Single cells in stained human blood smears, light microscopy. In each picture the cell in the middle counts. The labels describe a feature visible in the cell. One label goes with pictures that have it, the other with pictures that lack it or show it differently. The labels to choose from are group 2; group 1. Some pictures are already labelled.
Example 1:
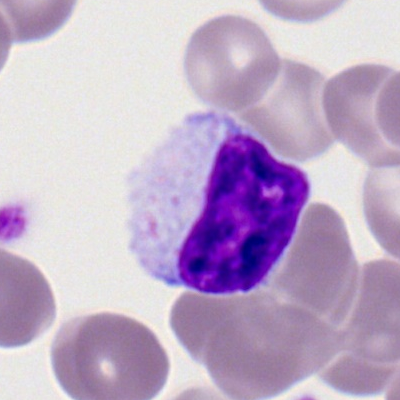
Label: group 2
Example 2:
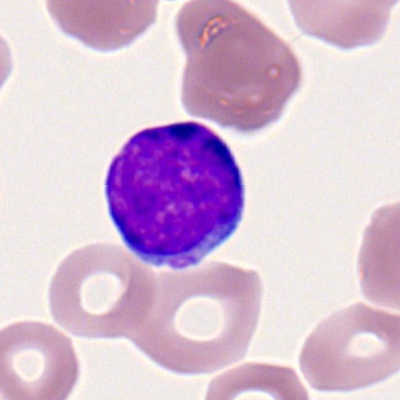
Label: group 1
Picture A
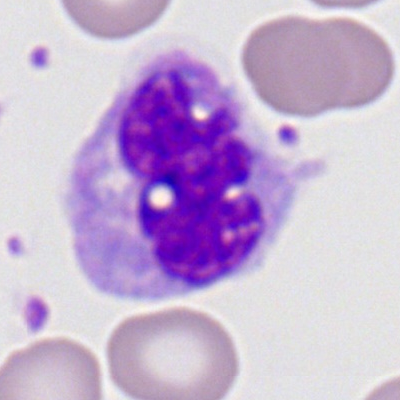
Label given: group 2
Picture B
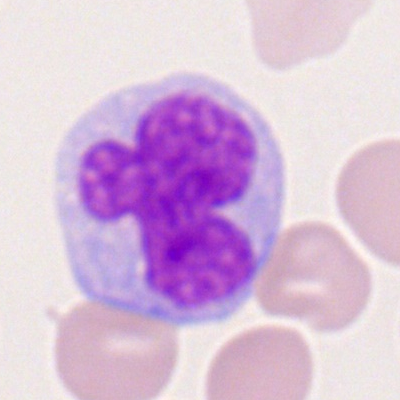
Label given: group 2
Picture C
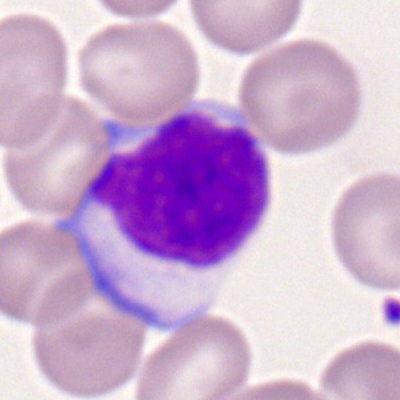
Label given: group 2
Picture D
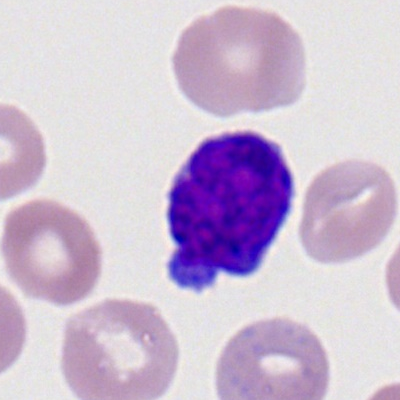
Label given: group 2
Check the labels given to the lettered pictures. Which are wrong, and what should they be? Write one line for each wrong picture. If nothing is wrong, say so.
D should be group 1, not group 2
